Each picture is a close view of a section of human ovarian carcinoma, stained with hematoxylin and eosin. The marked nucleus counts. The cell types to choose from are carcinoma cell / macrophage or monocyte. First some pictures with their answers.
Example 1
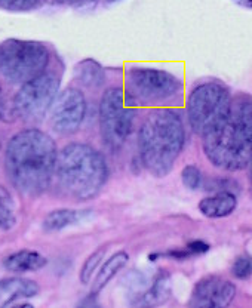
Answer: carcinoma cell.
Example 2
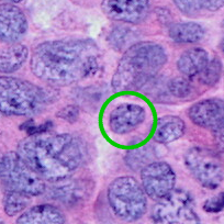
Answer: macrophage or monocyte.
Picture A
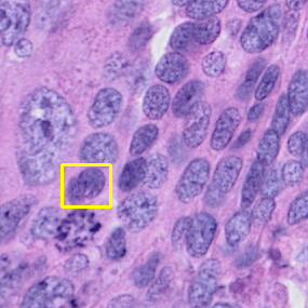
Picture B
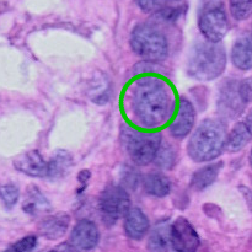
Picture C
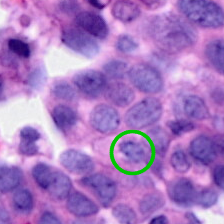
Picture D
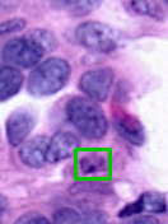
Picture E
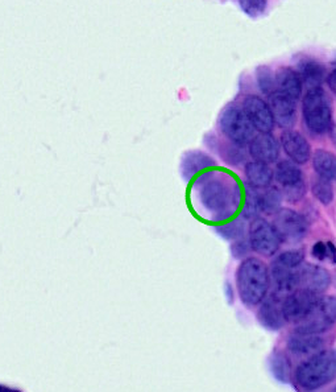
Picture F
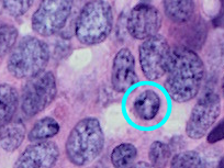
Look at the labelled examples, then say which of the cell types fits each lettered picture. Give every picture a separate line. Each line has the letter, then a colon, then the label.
A: carcinoma cell.
B: carcinoma cell.
C: macrophage or monocyte.
D: macrophage or monocyte.
E: carcinoma cell.
F: macrophage or monocyte.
